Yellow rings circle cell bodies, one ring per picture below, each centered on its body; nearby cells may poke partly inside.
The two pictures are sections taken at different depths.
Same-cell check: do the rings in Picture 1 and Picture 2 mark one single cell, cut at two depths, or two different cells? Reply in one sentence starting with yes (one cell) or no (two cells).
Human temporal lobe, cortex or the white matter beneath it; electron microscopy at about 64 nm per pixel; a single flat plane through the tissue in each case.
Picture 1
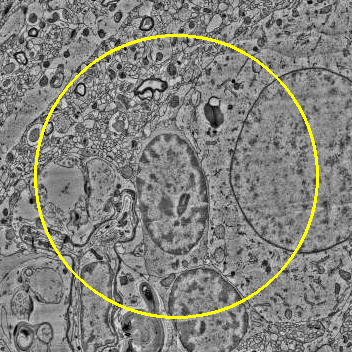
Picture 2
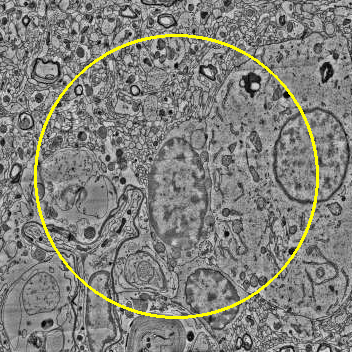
Yes, a single cell lies behind both yellow marks.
